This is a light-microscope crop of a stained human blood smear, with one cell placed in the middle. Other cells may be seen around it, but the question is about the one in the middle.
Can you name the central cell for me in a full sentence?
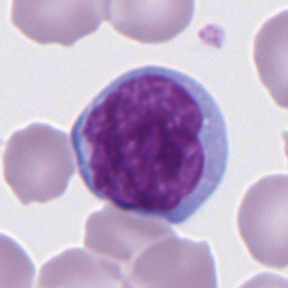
The centrally placed cell is classified as a lymphocyte.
